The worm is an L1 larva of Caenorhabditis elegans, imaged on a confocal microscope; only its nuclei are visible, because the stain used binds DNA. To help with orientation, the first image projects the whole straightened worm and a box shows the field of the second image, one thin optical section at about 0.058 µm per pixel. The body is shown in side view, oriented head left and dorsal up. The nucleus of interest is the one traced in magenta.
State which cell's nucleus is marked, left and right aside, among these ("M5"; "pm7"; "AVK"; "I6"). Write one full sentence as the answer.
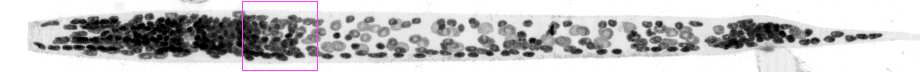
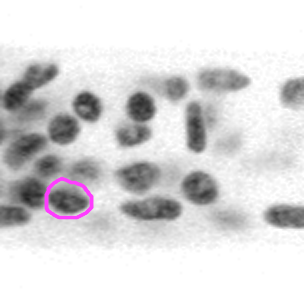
The marked nucleus is that of AVK, a neuron.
